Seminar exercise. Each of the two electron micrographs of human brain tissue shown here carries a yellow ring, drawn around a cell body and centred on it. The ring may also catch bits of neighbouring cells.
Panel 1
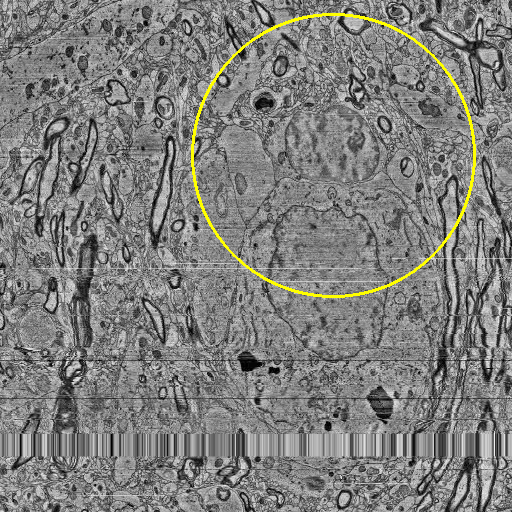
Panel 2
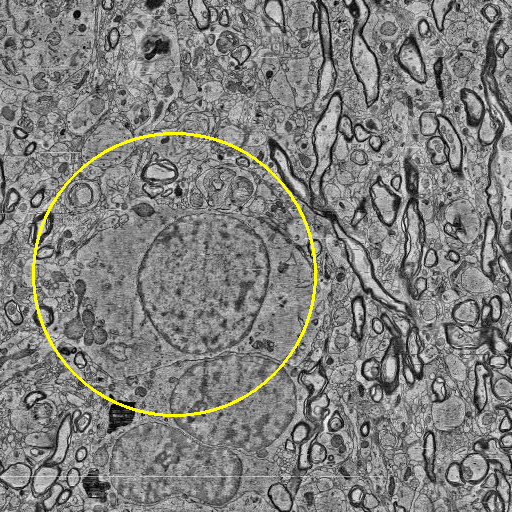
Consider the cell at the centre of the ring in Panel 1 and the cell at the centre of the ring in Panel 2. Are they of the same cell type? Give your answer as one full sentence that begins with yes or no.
No, the two cells are of two types.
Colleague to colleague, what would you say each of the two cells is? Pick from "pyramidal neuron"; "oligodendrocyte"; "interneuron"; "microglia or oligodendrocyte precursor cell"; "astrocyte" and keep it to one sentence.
The cell in the first picture is an oligodendrocyte; the second picture's cell is an astrocyte.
